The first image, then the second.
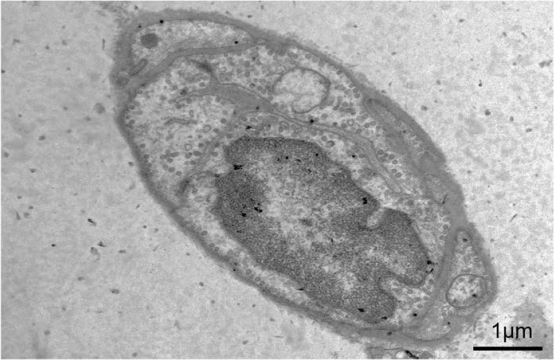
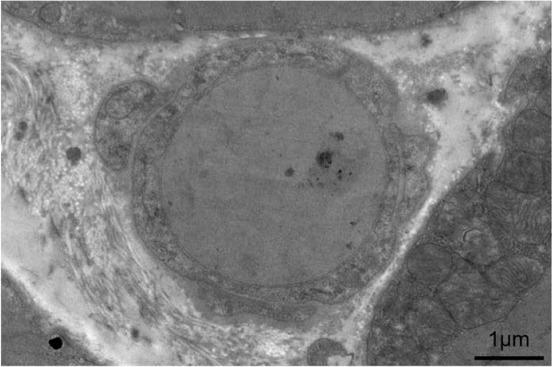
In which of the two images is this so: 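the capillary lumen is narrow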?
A: The first image.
